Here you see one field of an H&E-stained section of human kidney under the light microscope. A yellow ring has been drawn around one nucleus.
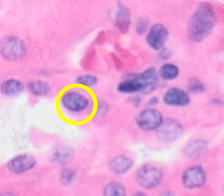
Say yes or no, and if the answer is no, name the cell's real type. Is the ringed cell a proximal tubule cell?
No, it is a loop of Henle or distal tubule cell.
